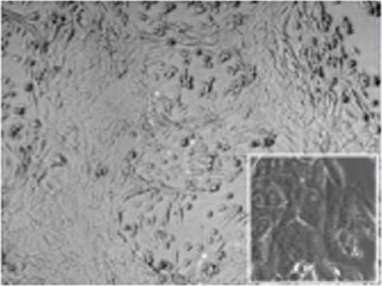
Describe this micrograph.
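Most cells are flattened and spread, some polygonal and others elongated or spindle-like, lying edge to edge in a sheet. Scattered small, dark, rounded bodies sit on top of the layer, singly or in loose clusters, likely rounded or detached cells and debris.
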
